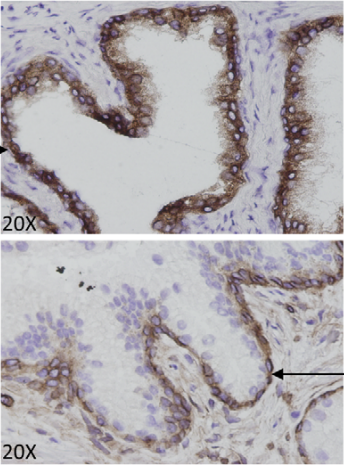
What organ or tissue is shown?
Prostate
